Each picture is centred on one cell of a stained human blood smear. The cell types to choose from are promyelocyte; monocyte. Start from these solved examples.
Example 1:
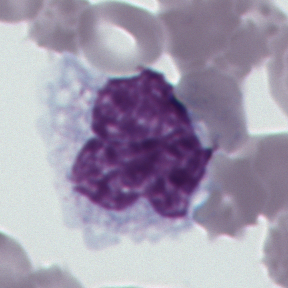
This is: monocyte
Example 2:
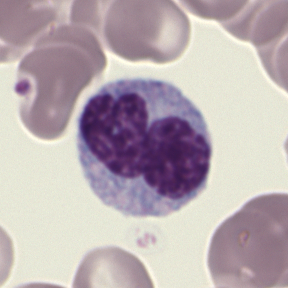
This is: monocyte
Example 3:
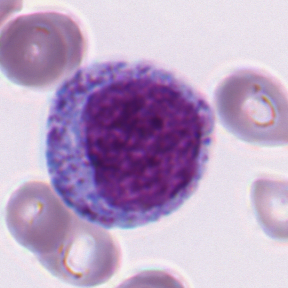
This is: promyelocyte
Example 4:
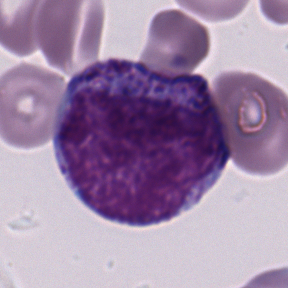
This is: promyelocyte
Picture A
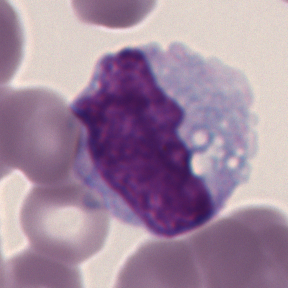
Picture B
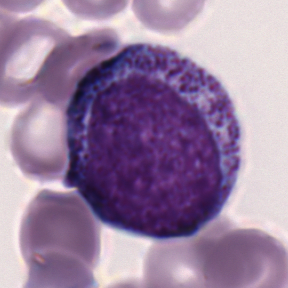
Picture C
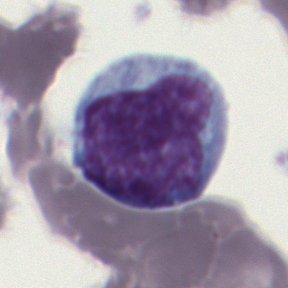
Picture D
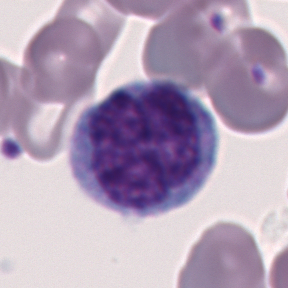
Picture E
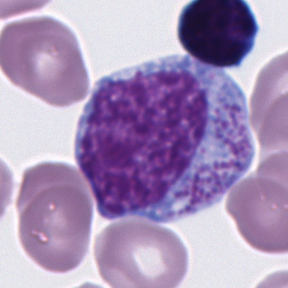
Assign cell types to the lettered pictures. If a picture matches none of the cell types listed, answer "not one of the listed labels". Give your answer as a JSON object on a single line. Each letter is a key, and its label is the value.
{"A": "monocyte", "B": "promyelocyte", "C": "monocyte", "D": "monocyte", "E": "promyelocyte"}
